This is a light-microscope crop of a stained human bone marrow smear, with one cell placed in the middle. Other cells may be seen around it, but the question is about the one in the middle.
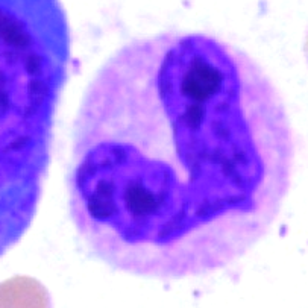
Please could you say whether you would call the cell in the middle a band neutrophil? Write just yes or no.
yes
